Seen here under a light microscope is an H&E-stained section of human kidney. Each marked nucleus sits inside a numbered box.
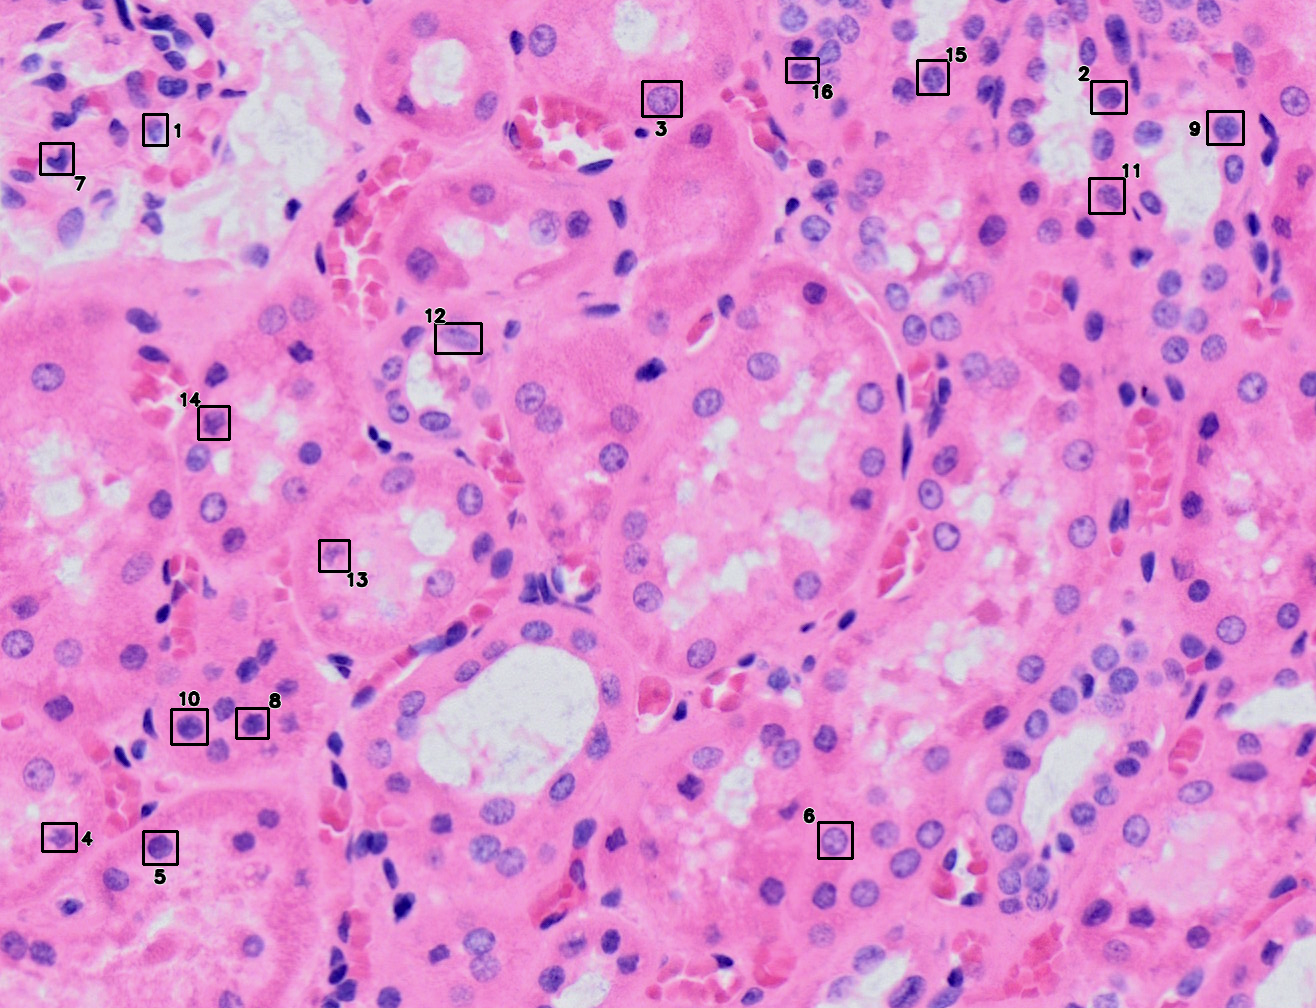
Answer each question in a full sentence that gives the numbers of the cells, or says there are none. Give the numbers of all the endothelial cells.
In this section, the cells labelled 1 and 7 are endothelial cells.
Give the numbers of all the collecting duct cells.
To be specific, the cells numbered 12 and 16 are collecting duct cells.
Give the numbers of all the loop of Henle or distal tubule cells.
The identity of cells 2, 8, 9, 10, 11 and 15: they are loop of Henle or distal tubule cells.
